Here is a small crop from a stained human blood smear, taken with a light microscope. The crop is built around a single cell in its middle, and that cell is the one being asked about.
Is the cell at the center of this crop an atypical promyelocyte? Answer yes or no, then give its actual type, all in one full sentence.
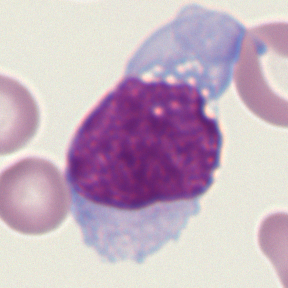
No, a myeloblast, not an atypical promyelocyte, is what sits in the centre of the crop.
